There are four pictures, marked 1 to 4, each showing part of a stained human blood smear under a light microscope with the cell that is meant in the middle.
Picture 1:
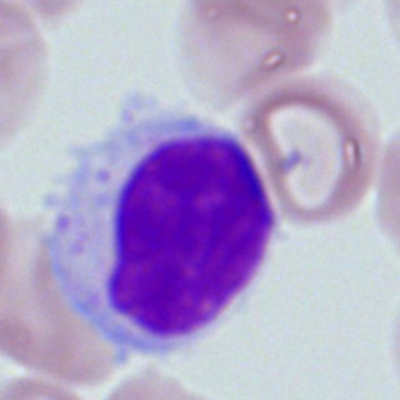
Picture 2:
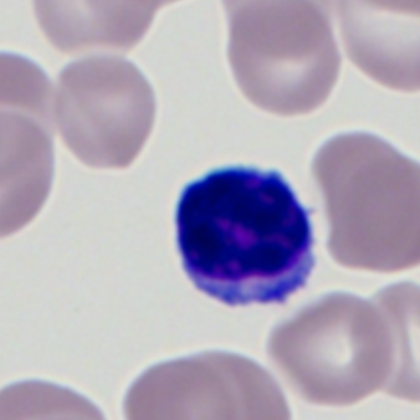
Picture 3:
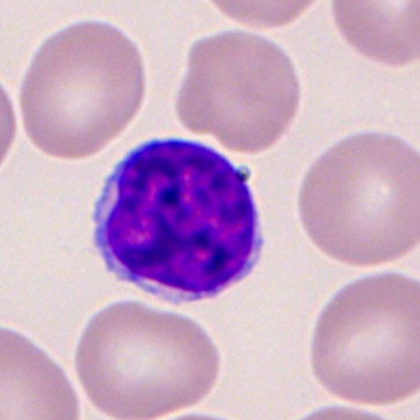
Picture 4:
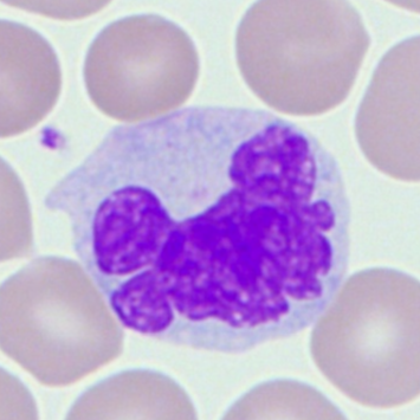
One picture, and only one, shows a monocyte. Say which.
4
